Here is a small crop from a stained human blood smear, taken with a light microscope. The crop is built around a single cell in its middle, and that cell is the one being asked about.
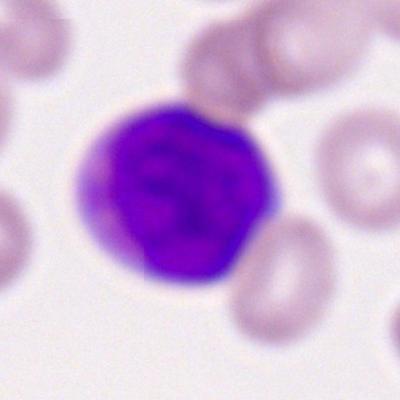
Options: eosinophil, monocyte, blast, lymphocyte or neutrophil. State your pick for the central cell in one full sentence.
In this crop, the cell at the very middle is a blast.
